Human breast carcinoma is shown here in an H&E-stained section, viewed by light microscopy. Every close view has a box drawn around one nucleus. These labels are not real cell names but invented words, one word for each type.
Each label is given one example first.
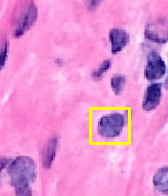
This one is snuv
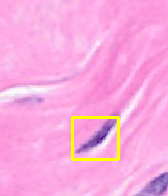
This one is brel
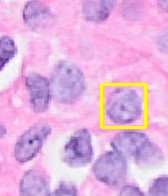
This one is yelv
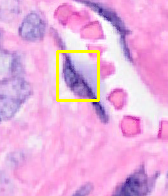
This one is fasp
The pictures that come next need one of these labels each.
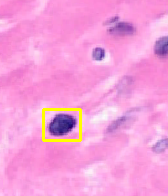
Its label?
snuv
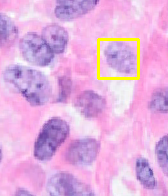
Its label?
yelv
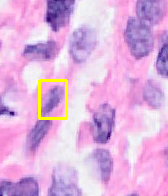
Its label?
fasp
